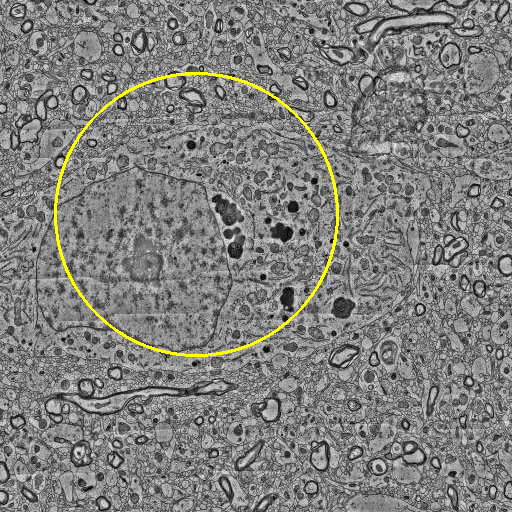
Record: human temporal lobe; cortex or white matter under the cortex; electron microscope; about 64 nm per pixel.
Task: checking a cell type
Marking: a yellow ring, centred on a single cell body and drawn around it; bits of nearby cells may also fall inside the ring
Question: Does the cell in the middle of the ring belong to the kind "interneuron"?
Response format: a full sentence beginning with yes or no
Yes, the cell marked at the ring's centre in the picture is of that kind.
